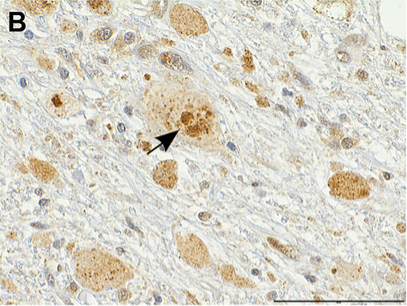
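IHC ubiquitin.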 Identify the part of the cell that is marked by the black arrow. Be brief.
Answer: Granular cores of the spheroids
